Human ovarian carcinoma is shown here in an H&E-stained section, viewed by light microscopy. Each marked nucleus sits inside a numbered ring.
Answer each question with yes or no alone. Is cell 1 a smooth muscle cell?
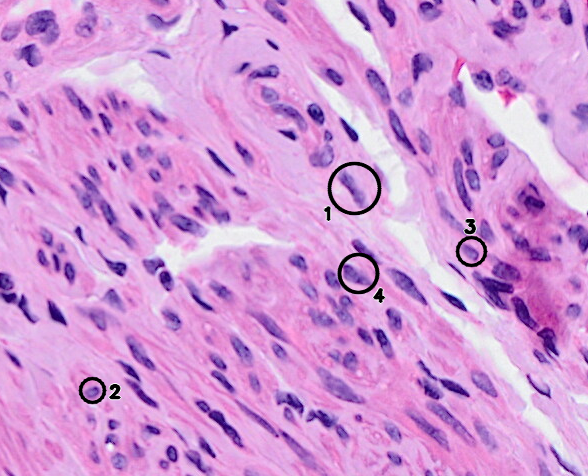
no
